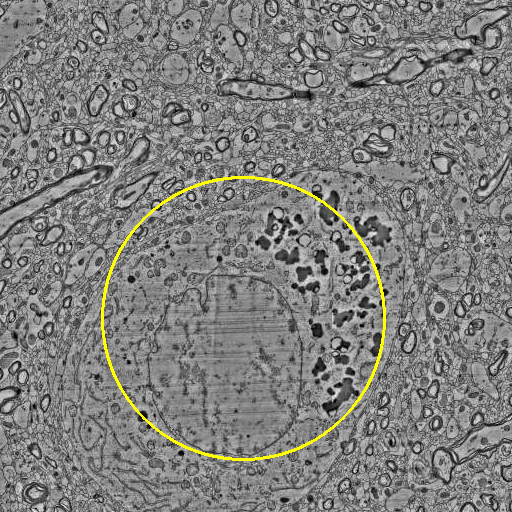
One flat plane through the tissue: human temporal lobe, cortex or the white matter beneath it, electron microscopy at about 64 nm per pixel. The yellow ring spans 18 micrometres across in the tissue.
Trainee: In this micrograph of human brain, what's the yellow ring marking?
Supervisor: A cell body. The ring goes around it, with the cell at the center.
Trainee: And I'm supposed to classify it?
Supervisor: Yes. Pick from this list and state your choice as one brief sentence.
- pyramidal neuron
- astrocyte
The cell at the ring's center is a pyramidal neuron.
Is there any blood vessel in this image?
No.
